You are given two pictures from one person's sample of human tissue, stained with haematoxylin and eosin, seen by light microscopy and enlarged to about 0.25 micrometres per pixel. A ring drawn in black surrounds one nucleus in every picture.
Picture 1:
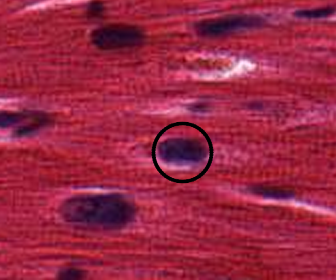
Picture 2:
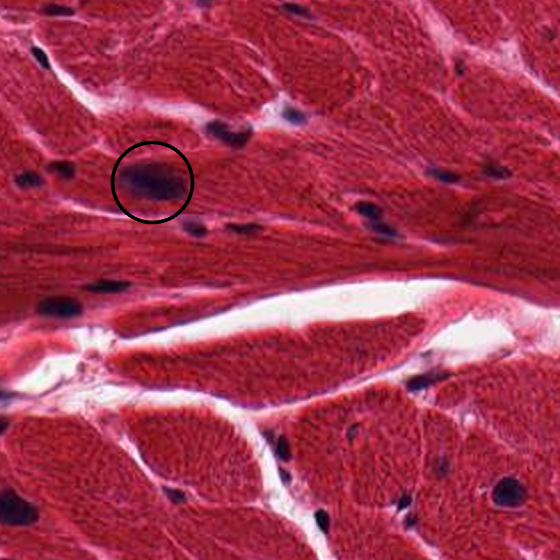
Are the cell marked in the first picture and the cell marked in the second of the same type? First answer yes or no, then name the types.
Yes, both are cardiomyocytes.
